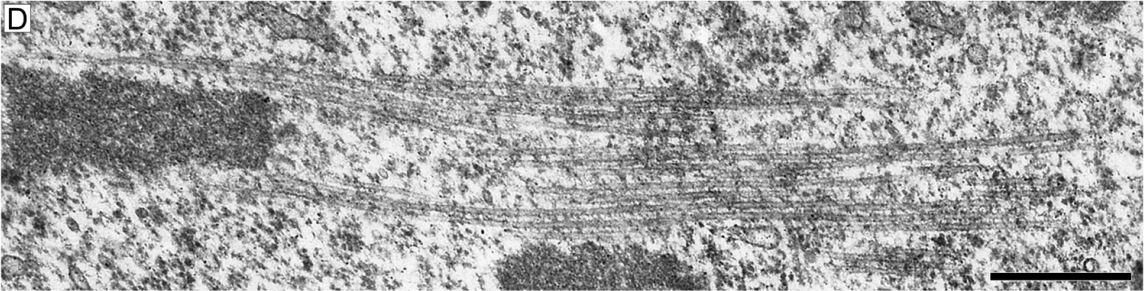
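A kinetochore fiber is seen lengthwise as a bundle of long, straight, parallel filaments crossing the cytoplasm. At the left the bundle meets a dense, granular mass of condensed chromatin, and another chromatin mass lies below. The surrounding cytoplasm is finely granular with scattered small particles.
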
